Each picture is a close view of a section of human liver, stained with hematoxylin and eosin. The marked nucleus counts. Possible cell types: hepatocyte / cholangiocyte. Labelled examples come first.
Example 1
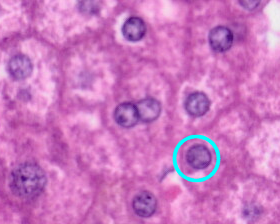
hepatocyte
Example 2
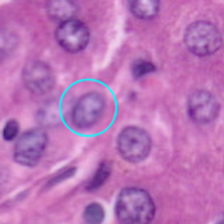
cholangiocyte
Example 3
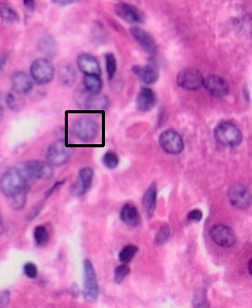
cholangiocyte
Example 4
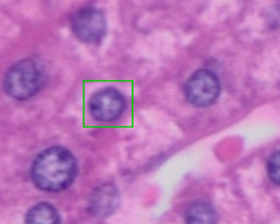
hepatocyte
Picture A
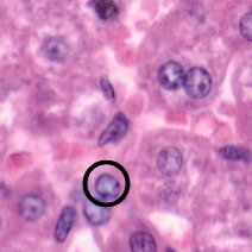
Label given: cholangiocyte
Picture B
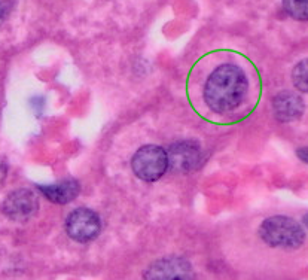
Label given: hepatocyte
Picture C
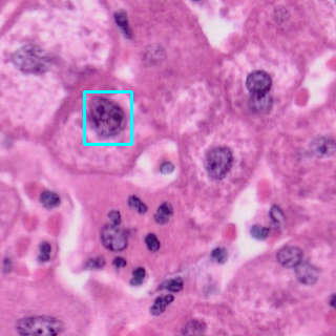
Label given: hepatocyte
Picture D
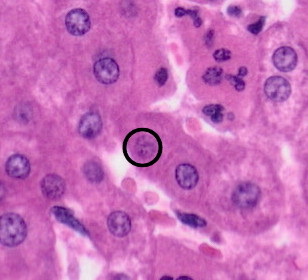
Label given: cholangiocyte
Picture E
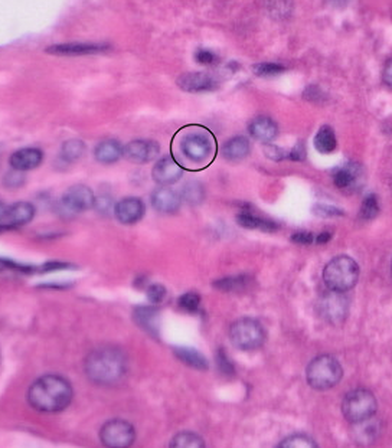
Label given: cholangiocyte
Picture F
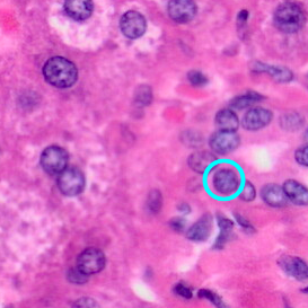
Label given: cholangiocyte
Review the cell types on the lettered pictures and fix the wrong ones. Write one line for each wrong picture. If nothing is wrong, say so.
D: change cholangiocyte to hepatocyte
